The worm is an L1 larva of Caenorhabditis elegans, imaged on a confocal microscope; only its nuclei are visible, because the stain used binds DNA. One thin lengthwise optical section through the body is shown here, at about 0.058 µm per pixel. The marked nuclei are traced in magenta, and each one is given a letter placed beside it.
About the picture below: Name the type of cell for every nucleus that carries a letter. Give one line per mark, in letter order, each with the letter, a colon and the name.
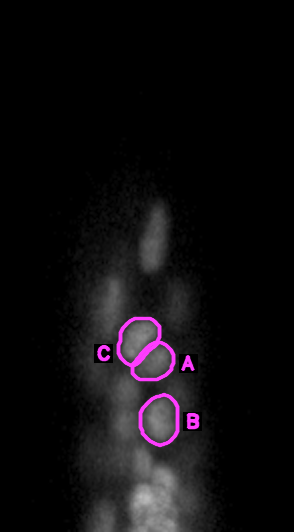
A: hypodermal cell (hyp)
B: seam cell
C: arcade cell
